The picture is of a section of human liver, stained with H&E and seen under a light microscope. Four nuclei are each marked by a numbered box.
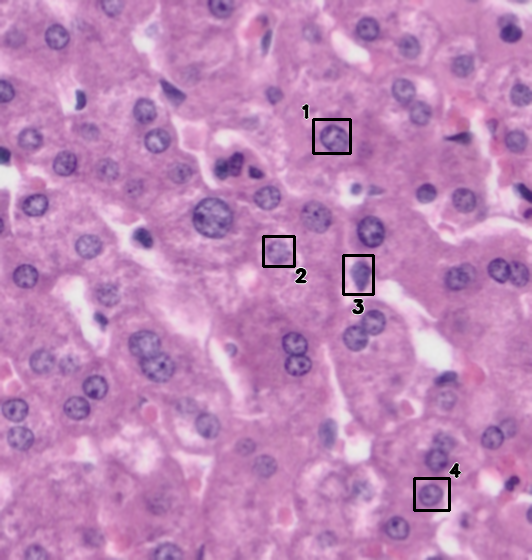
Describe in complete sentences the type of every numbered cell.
Cells 1, 2 and 4 are hepatocytes. Cell 3 is an endothelial cell.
